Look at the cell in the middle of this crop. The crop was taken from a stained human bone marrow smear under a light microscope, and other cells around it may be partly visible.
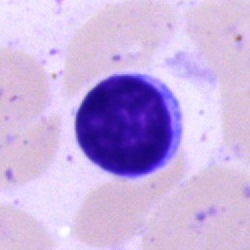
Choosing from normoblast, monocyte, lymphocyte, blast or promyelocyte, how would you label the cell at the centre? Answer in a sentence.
The centrally positioned cell in the crop represents a lymphocyte.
